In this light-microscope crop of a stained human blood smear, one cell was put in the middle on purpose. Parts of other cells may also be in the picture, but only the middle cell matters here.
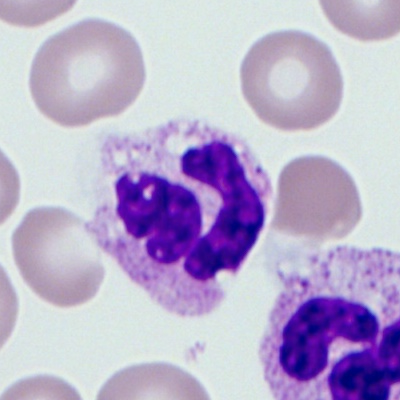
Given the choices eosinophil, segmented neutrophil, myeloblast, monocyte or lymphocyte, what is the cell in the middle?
segmented neutrophil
